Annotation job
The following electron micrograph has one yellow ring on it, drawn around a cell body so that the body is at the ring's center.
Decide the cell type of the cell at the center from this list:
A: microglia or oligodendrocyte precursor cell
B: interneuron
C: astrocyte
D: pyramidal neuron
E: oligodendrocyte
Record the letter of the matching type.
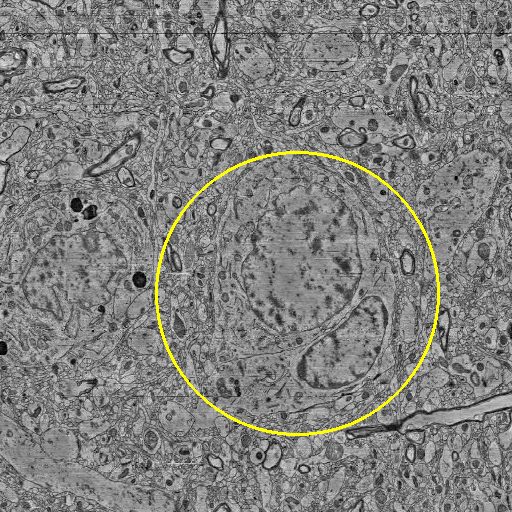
B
